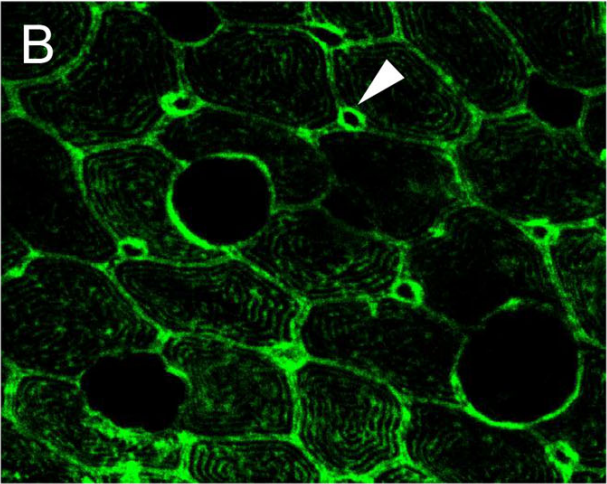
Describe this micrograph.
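This is a surface view of a fish skin-like epithelium, tiled with large polygonal pavement cells whose surfaces bear concentric, fingerprint-like ridges outlined in green. The cell borders glow brightly green, and at several points where borders meet there are small bright rings with dark centres, the apical crypts of ionocytes. Scattered among them are large round dark holes with bright green rims.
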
